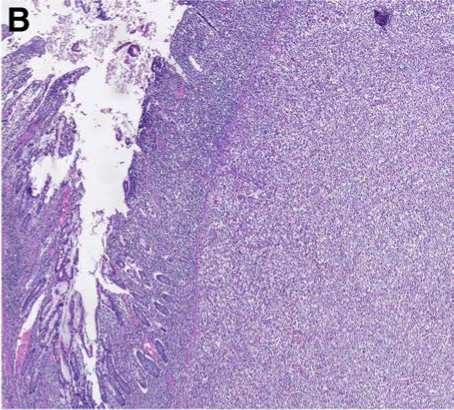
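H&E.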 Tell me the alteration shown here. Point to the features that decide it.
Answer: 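Malignant intestinal lymphoid proliferation. Mucosal glands on the left border a large solid sheet of cells. The cellular sheet is uniform and effaces the wall to the right.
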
